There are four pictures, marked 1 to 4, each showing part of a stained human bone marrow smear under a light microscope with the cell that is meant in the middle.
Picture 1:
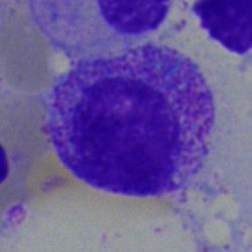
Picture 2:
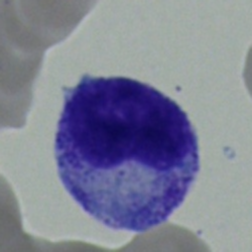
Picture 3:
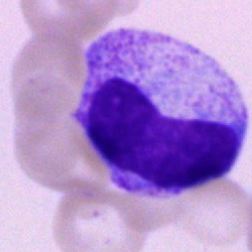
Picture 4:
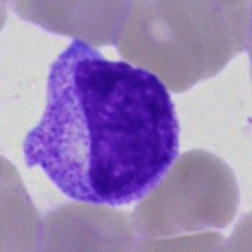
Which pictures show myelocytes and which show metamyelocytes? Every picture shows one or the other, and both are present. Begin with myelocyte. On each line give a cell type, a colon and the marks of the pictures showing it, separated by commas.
myelocyte: 1, 4
metamyelocyte: 2, 3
